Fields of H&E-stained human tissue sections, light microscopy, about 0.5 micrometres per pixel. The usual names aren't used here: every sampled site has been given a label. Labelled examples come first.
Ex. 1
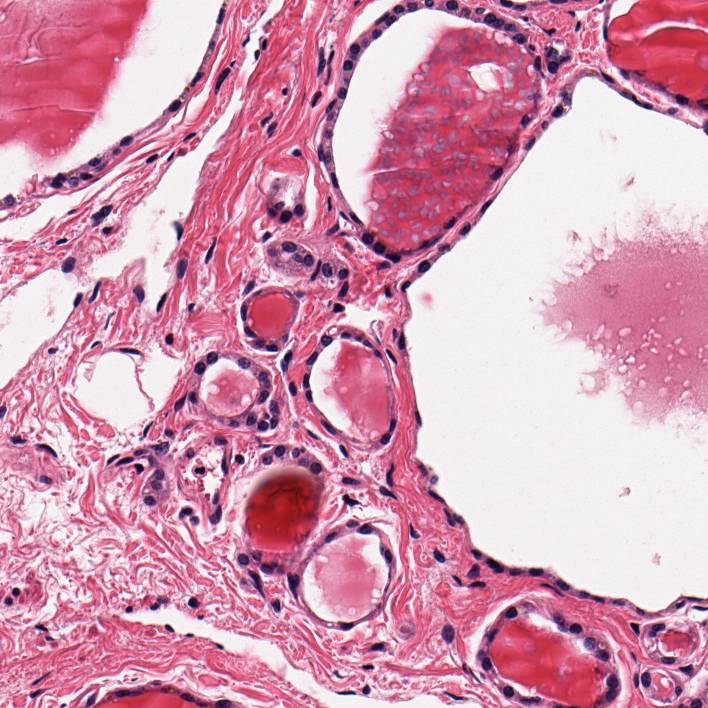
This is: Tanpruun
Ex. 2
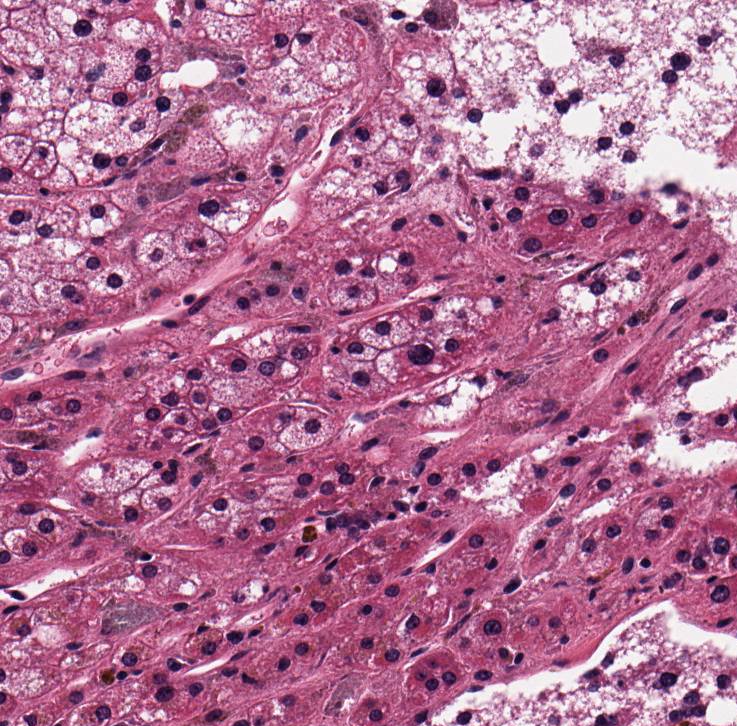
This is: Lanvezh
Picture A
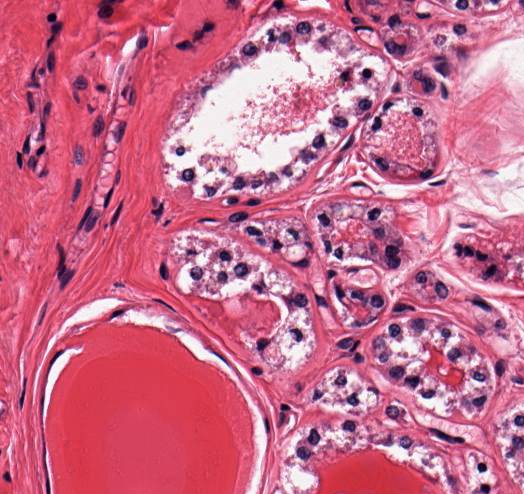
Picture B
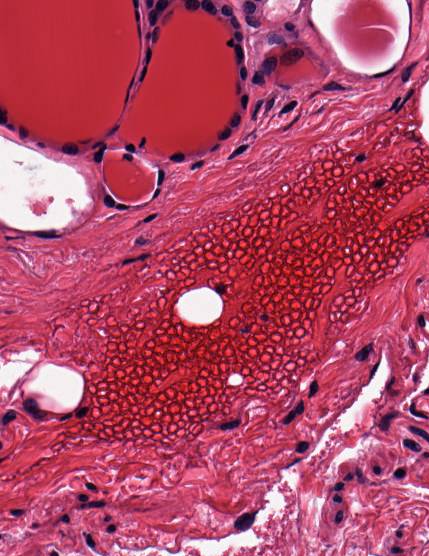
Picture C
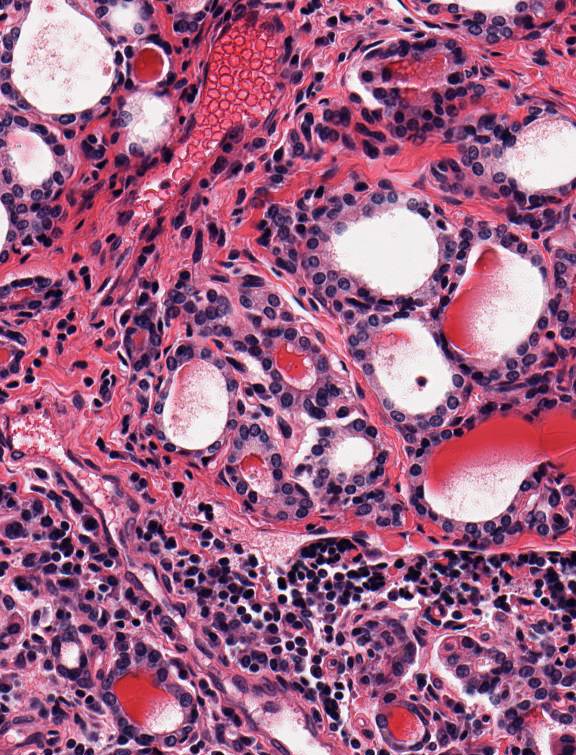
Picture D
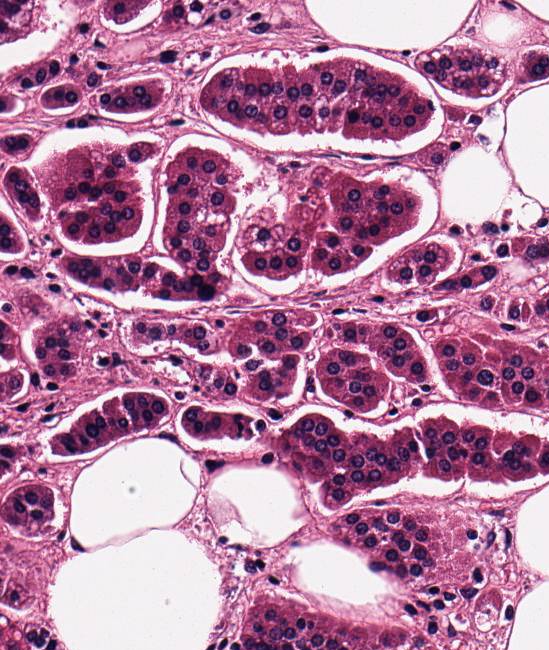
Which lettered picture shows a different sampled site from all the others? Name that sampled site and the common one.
Exception: D, showing Lanvezh. Remaining pictures: Tanpruun.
